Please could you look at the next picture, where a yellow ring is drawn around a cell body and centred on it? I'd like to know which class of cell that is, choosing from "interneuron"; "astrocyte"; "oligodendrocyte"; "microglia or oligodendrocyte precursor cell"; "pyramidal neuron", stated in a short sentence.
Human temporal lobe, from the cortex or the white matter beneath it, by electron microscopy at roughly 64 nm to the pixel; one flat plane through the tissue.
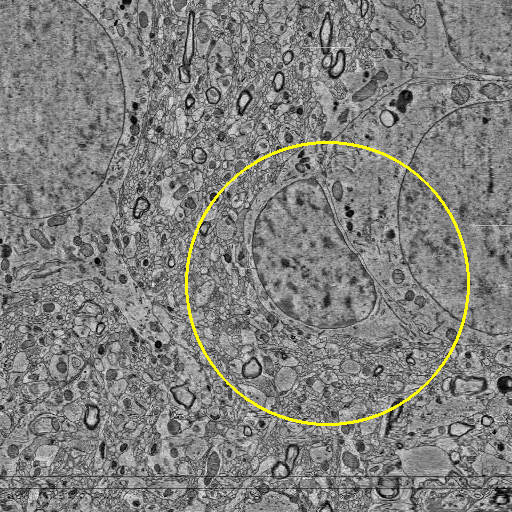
The ring's centre lies on a microglial cell or oligodendrocyte precursor cell.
